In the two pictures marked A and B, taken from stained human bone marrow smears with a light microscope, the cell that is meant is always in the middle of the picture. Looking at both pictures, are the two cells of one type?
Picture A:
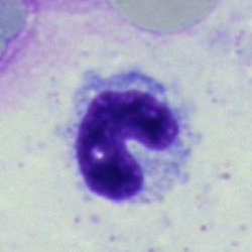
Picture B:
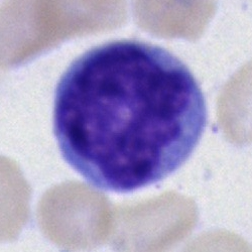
no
